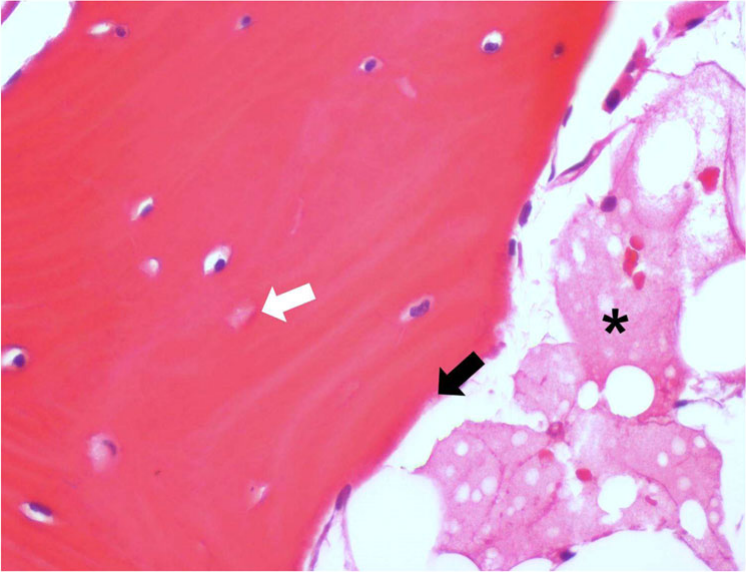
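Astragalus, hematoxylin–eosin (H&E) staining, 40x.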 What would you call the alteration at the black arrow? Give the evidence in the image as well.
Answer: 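Lining is partially interrupted. The bone surface at the arrow is bare, with no row of cells along it. Only a few flat, scattered nuclei lie elsewhere along the bone edge.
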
